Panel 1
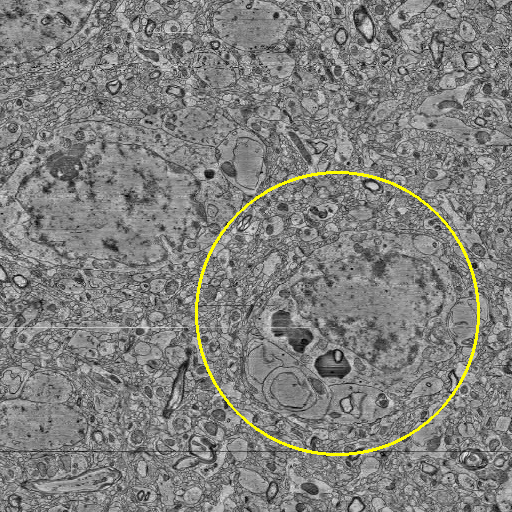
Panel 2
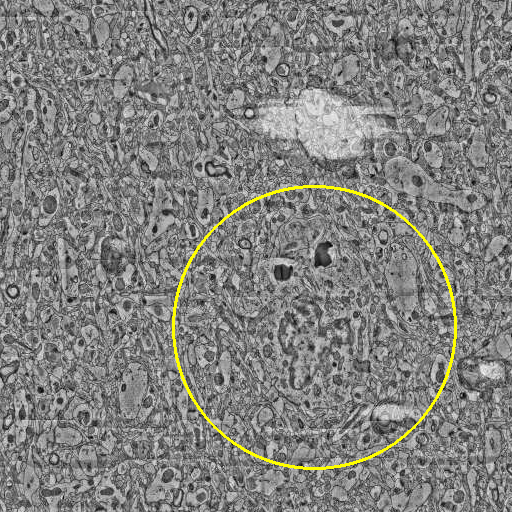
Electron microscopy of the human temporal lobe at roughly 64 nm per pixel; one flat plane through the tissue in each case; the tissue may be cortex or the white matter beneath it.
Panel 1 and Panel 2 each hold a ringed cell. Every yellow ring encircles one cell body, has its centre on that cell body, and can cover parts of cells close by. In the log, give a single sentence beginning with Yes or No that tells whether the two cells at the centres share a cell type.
Yes, in Panel 1 and Panel 2 the centred cells share a cell type.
